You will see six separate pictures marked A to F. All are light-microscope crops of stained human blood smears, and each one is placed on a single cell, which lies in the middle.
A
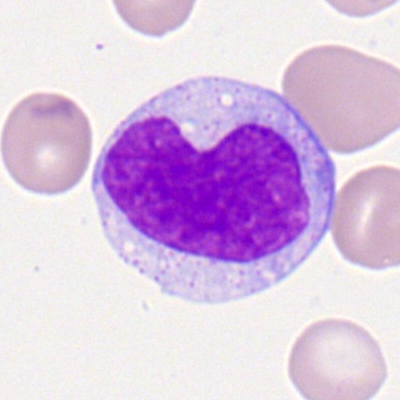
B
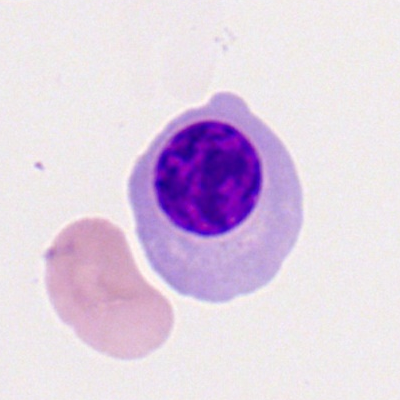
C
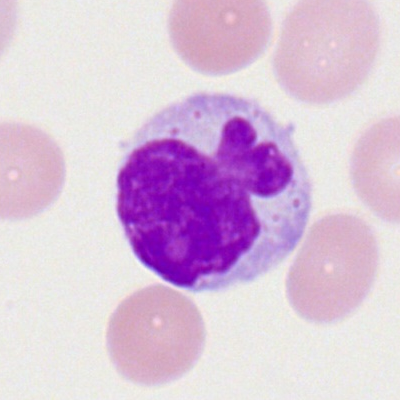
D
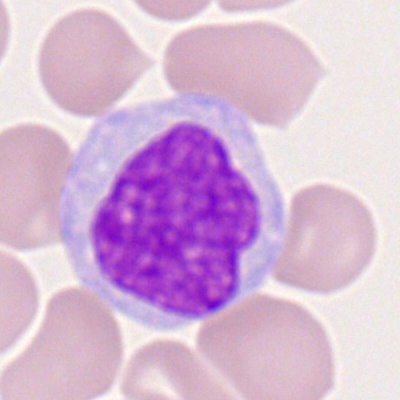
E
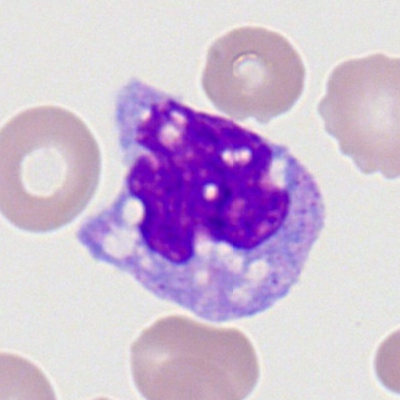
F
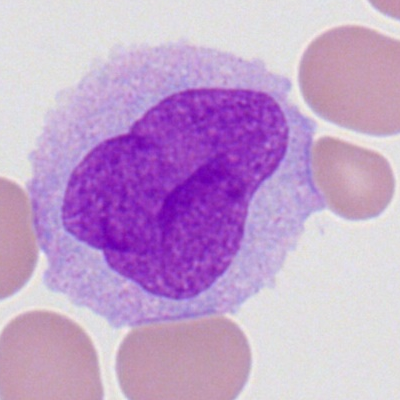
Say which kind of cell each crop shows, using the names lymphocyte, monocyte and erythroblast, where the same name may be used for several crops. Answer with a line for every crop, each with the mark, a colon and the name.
A: monocyte
B: erythroblast
C: lymphocyte
D: monocyte
E: monocyte
F: monocyte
